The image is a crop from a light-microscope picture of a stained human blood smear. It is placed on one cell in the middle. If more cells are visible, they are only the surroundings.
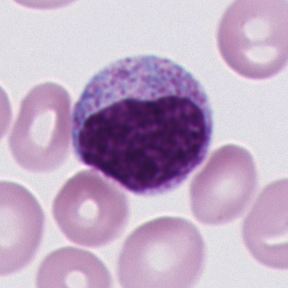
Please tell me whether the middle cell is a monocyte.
no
